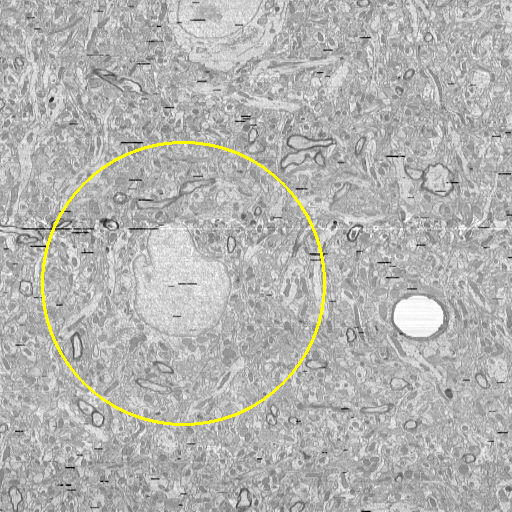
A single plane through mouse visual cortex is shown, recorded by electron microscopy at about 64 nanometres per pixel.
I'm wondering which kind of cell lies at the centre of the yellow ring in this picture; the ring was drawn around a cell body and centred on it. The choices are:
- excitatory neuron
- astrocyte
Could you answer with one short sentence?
At the centre of the ring lies an astrocyte.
